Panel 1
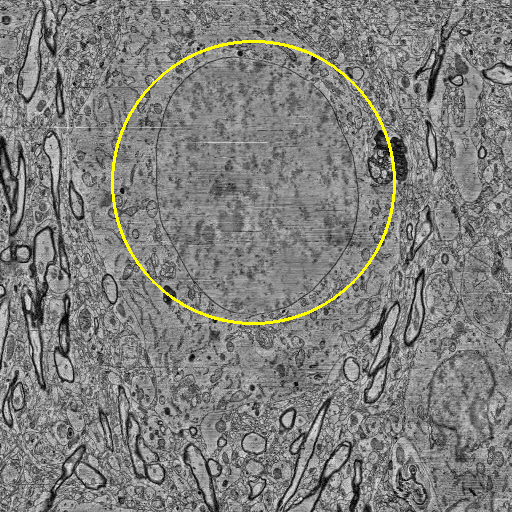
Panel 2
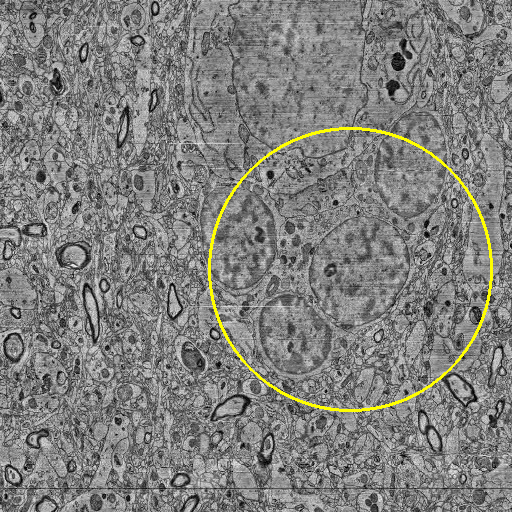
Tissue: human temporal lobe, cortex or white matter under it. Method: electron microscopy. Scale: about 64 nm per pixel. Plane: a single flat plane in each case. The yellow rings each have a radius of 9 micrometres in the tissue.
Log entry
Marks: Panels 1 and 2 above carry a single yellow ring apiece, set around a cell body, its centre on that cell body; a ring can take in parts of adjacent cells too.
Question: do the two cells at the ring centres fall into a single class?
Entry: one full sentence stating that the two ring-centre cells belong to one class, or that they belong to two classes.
The two ring-centre cells in Panels 1 and 2 belong to two classes.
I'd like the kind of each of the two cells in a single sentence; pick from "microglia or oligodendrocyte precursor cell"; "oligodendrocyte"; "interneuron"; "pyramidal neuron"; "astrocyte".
The first ring marks a pyramidal neuron, and the second ring marks an oligodendrocyte.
